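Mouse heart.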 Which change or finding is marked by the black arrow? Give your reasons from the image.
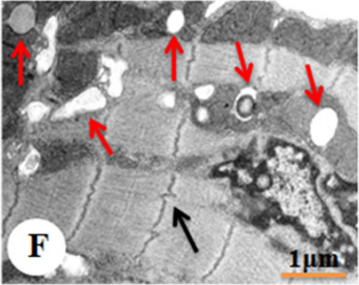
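Irregularities in Z band pattern. The dark transverse line at the arrow is wavy and out of register with its neighbours. The cross-striation of the myofibrils is uneven.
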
